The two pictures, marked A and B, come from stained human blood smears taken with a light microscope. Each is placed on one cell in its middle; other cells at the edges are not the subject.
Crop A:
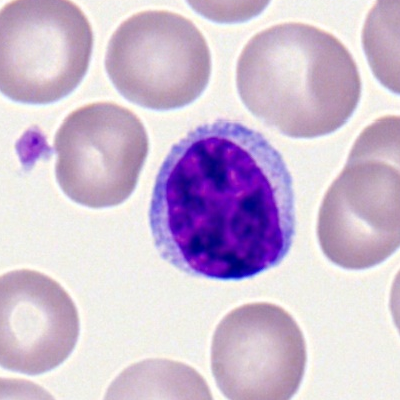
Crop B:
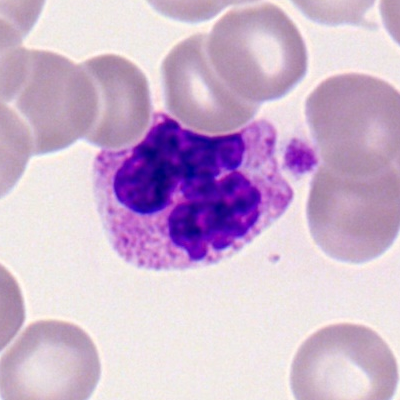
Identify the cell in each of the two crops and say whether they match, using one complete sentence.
No, it is a lymphocyte in crop A and a basophil in crop B.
